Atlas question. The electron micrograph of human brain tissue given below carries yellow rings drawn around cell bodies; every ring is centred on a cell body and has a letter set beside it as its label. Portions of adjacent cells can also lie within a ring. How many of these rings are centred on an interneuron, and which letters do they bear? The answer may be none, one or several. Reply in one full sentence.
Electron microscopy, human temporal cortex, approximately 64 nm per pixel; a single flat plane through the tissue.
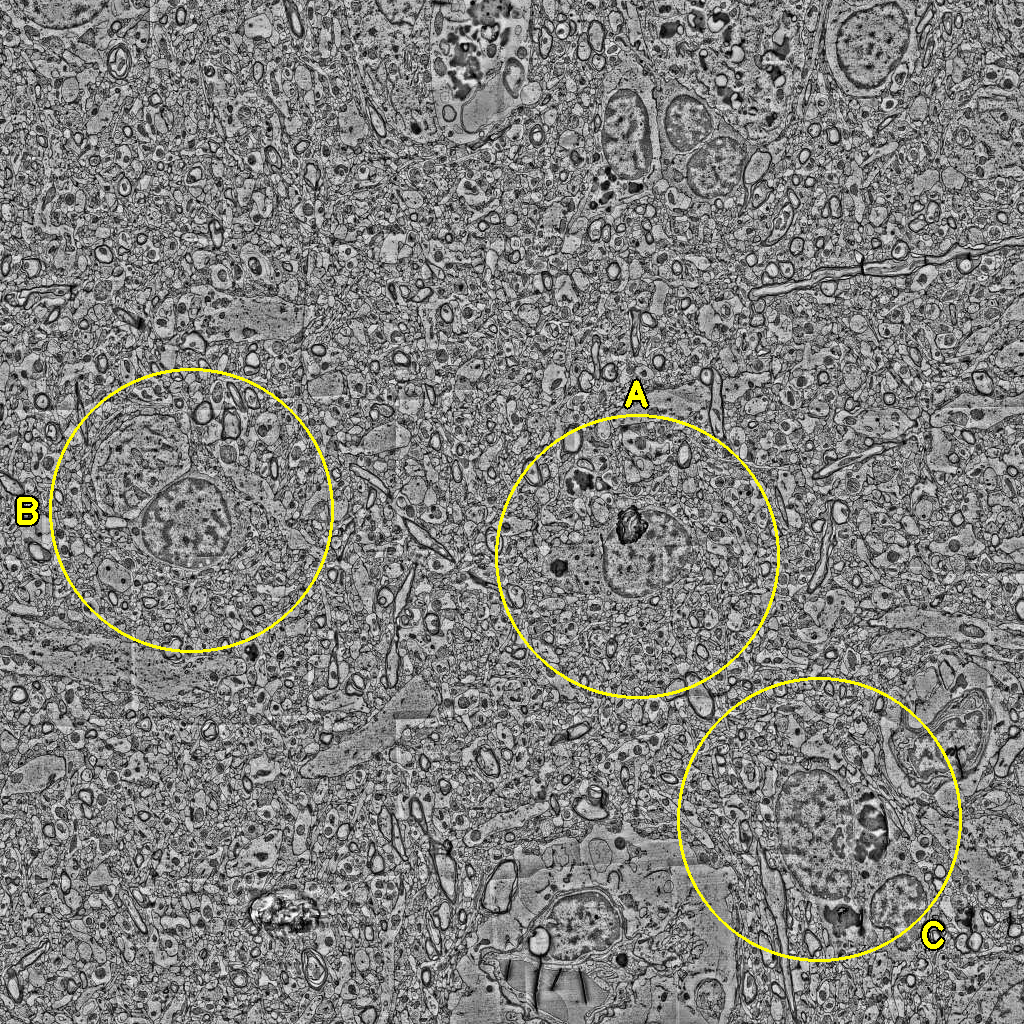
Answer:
Zero yellow rings have an interneuron at their centre in this micrograph.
